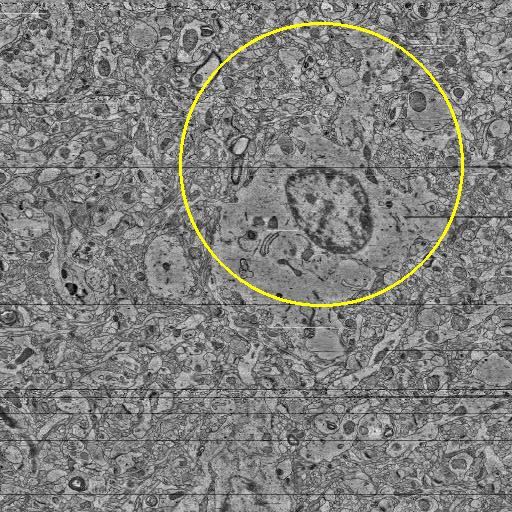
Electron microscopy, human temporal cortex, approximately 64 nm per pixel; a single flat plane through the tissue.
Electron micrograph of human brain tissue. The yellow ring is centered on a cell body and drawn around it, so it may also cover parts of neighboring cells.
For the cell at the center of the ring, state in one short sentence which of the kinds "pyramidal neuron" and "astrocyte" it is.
This ring is centered on an astrocyte.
